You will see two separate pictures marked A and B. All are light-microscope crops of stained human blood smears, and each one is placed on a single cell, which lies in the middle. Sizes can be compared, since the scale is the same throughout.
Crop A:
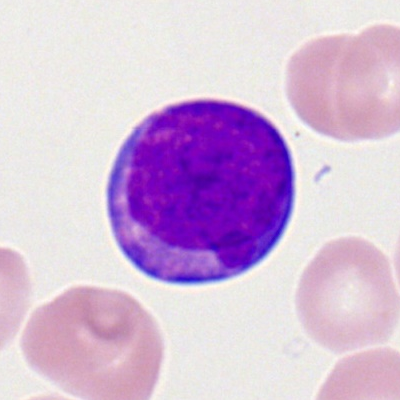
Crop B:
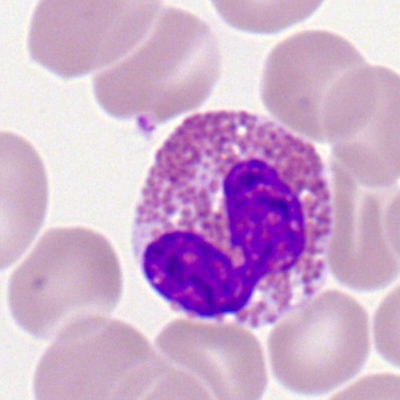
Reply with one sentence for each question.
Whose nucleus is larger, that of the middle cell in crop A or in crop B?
Larger is the nucleus in crop A, at roughly 1.5 times the area of the other.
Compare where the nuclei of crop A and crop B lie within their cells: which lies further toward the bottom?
Seen within its cell, the nucleus in crop B lies further toward the bottom.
